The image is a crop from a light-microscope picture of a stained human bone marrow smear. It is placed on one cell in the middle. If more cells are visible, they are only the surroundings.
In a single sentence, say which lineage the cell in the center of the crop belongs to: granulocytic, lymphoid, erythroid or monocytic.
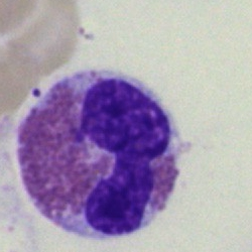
The cell occupying the center of the frame is part of the granulocytic lineage.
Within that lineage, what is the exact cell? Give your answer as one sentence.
To answer, the cell in the center of the crop is an eosinophil.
